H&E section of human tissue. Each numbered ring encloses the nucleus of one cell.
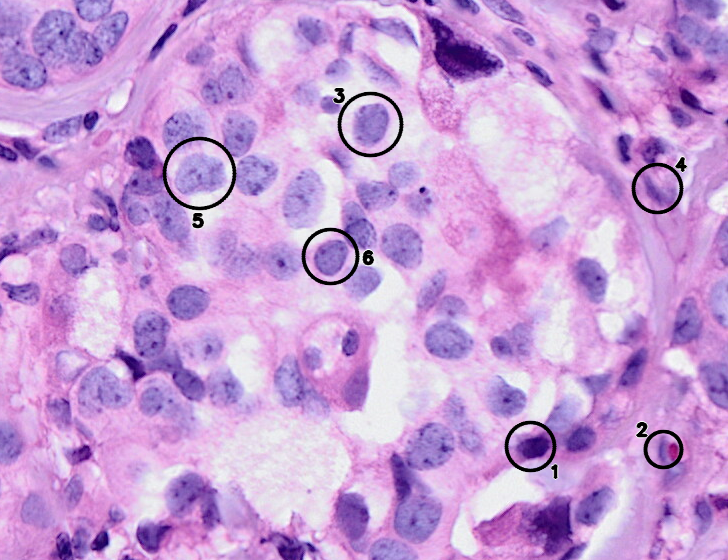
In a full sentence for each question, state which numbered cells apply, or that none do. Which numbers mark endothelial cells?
Cell 2 is the single numbered cell that is an endothelial cell.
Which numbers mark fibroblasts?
Nothing but cell 4 is a fibroblast among the numbered ones.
